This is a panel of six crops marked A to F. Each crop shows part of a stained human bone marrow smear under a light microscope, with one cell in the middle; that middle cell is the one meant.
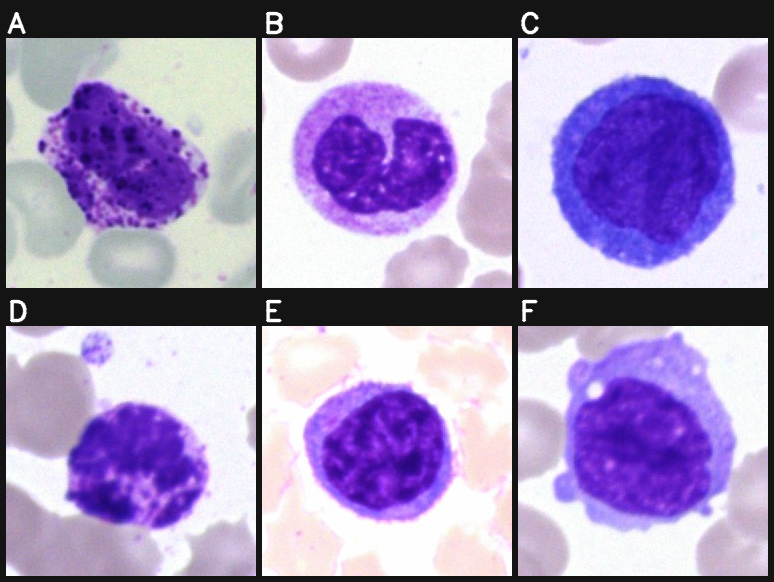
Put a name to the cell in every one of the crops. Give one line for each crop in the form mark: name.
A: basophil
B: band neutrophil
C: blast
D: basophil
E: plasma cell
F: monocyte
